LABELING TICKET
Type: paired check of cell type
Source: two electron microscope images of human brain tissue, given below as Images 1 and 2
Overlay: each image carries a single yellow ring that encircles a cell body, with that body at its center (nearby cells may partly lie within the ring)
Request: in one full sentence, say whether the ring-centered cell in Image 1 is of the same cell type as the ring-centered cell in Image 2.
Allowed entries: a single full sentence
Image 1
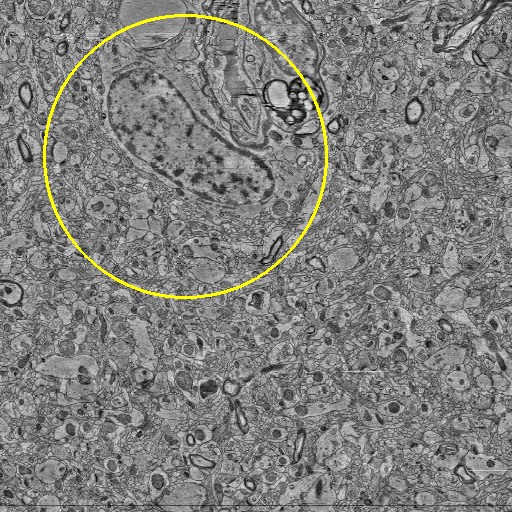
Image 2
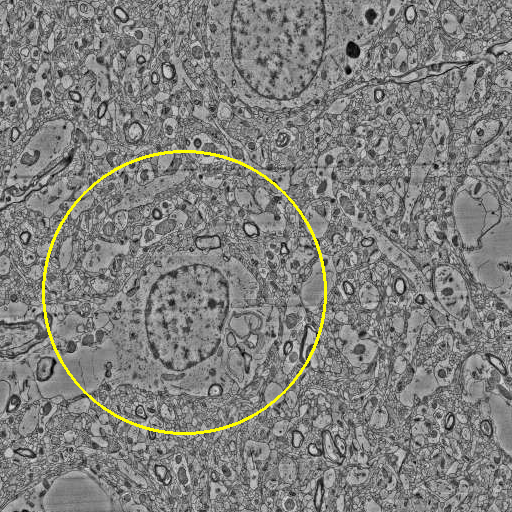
Yes, the cells centered in the rings of Image 1 and Image 2 share one type.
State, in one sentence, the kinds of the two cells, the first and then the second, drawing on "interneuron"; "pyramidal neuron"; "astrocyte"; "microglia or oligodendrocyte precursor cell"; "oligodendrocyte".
Both the first and the second picture show a microglial cell or oligodendrocyte precursor cell in the ring.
